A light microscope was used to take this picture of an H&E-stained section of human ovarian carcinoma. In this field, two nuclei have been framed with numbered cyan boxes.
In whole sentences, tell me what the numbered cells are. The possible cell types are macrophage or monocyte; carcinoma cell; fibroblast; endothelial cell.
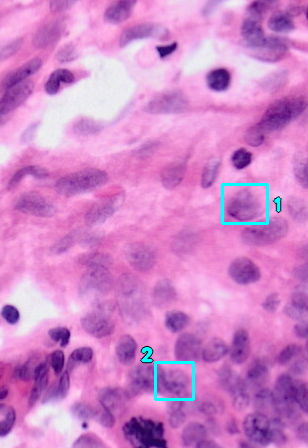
Cell 1 is a fibroblast. Cell 2 is a carcinoma cell.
